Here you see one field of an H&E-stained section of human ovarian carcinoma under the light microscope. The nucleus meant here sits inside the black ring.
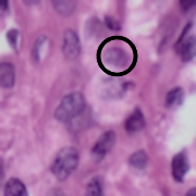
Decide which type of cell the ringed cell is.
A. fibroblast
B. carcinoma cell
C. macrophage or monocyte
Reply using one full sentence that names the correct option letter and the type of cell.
Option C is correct here; the ringed cell is a macrophage or monocyte.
